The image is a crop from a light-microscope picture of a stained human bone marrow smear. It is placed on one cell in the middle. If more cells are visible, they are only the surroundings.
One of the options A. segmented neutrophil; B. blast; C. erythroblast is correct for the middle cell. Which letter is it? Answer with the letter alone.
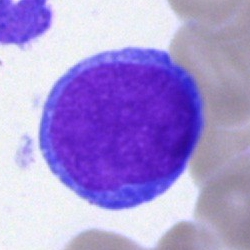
B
